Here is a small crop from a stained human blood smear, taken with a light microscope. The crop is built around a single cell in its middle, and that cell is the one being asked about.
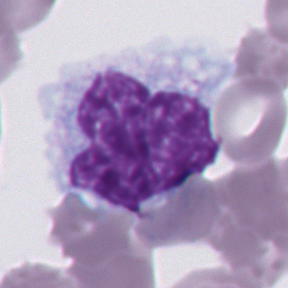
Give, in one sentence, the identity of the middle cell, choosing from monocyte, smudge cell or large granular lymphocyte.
The cell marked by its central position in the crop is a monocyte.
